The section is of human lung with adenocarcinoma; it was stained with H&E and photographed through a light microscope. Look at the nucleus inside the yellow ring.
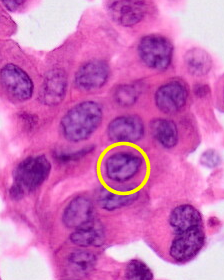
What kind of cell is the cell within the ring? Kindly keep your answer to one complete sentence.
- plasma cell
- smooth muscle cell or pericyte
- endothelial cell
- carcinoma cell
Histopathologically, the cell within the ring is a carcinoma cell.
